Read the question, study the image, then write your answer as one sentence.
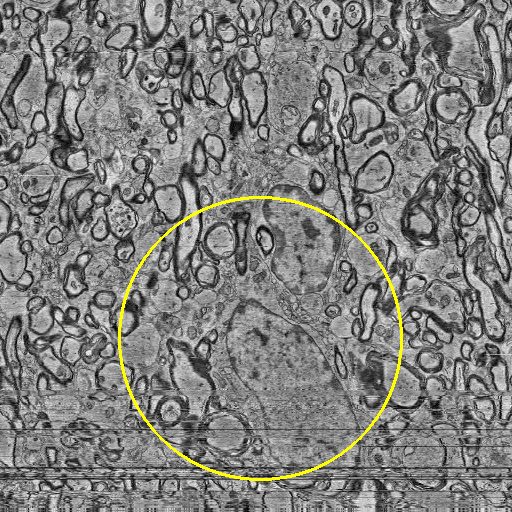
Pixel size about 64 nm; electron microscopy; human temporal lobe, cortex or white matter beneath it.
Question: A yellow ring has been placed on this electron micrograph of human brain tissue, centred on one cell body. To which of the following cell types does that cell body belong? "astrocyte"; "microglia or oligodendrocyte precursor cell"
That cell body belongs to a microglial cell or oligodendrocyte precursor cell.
